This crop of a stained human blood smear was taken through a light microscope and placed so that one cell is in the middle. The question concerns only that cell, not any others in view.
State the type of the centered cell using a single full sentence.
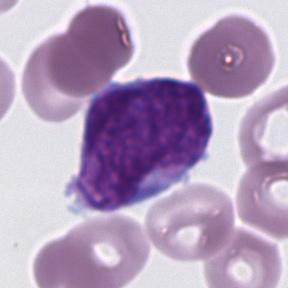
In the middle of this smear crop, the cell is an atypical promyelocyte.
